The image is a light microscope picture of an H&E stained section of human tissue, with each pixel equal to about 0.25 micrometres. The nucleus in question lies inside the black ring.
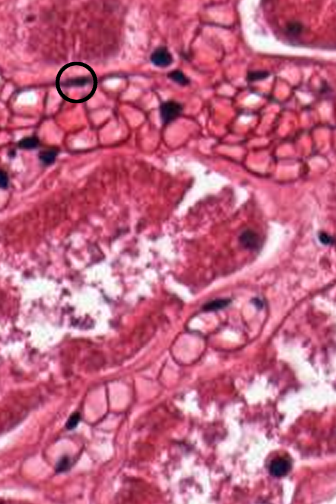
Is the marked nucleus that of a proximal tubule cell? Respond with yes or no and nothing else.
no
